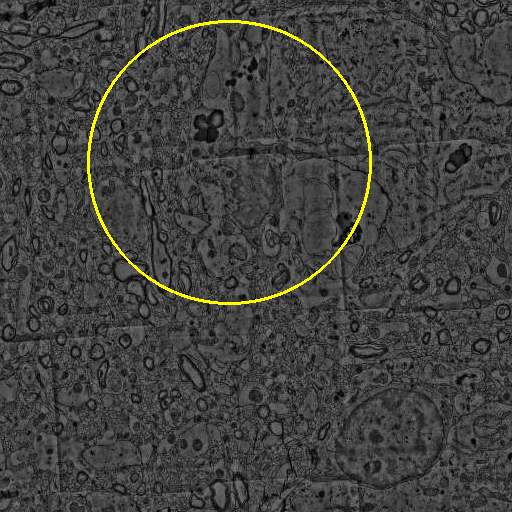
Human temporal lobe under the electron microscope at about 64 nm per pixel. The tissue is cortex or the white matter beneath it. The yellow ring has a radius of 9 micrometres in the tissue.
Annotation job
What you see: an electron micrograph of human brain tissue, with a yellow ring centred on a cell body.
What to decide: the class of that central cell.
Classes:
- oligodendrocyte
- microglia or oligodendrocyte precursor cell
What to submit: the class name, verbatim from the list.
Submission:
oligodendrocyte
